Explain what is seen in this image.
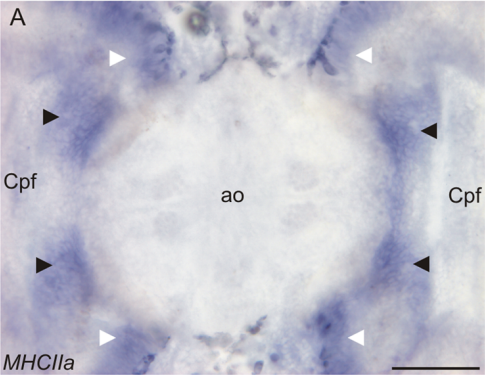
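Aboral region of a ctenophore, viewed from above, with the apical organ as a large, pale, rounded structure in the centre. The polar fields extend to either side of it. Around the apical organ, purple-blue stain marks discrete patches of tissue: four lie close to the apical organ at its left and right flanks, and four lie farther out toward the upper and lower corners. The patches are diffuse and of moderate intensity. The tissue between them and the body of the apical organ stay largely unstained, pale grey to beige.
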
